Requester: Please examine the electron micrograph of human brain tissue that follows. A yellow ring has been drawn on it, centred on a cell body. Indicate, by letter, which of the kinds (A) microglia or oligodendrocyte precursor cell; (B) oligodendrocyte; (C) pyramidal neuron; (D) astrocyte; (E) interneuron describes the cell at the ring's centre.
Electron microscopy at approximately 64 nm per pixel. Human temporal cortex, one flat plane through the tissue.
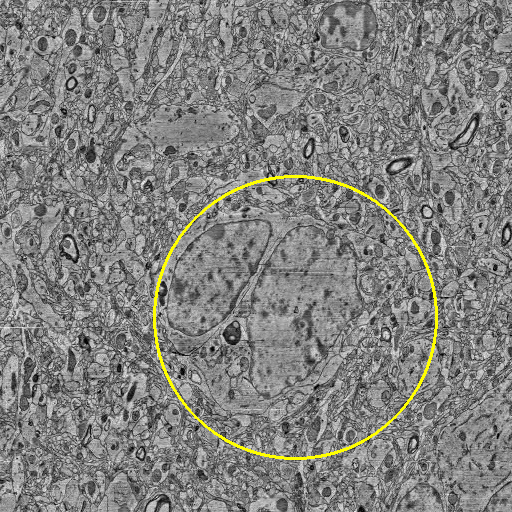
E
